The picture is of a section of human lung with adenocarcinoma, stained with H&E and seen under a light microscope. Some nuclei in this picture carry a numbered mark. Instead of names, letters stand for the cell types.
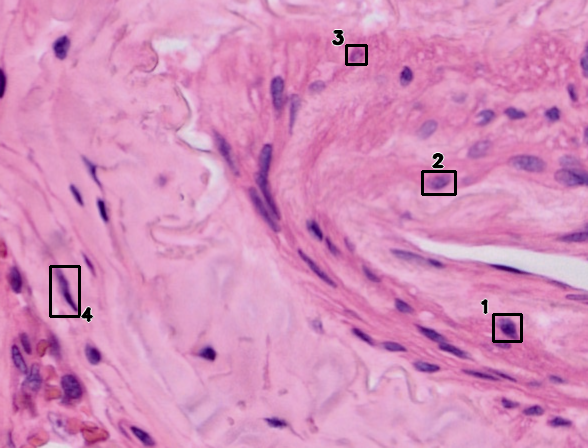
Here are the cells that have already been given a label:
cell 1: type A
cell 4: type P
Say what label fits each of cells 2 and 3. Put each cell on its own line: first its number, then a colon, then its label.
2: type A
3: type A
